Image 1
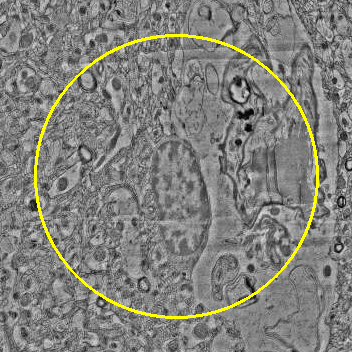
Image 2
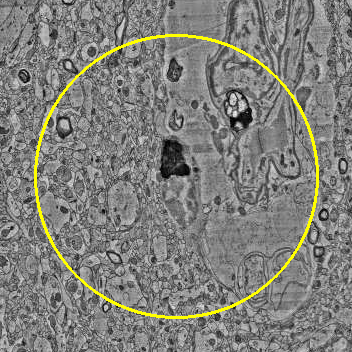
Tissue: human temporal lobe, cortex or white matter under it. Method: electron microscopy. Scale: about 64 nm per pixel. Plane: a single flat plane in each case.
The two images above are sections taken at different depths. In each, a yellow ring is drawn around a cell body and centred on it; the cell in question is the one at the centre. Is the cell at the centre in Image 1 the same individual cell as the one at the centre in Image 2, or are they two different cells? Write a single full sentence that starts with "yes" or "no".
Yes, the cell marked in each ring is one and the same.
